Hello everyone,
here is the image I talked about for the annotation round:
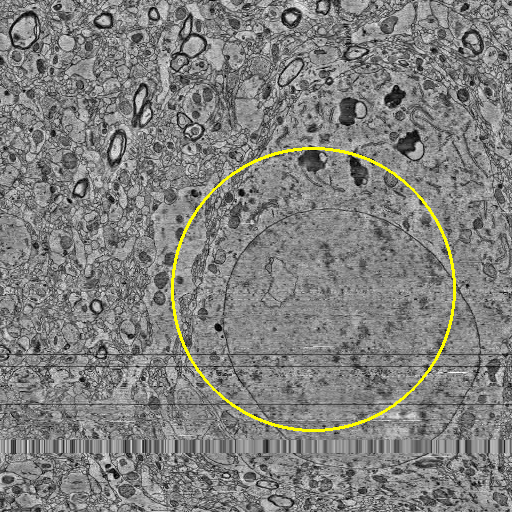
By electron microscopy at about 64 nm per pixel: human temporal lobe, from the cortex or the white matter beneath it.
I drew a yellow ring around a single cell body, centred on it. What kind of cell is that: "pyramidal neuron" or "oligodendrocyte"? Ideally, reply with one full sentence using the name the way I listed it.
The cell your yellow ring is centred on is a pyramidal neuron, going by your list.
